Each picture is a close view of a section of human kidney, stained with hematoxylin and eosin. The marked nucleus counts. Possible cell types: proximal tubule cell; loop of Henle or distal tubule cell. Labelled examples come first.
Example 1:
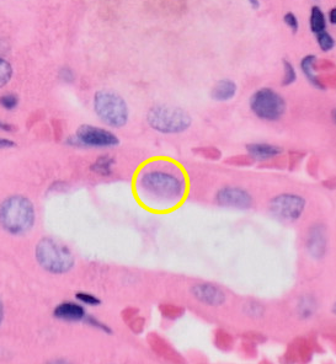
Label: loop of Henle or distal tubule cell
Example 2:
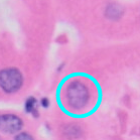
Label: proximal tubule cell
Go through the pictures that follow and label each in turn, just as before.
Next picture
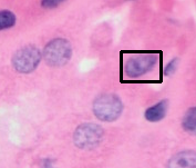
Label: proximal tubule cell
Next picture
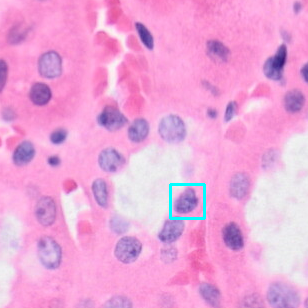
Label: loop of Henle or distal tubule cell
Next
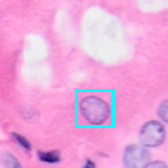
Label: proximal tubule cell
